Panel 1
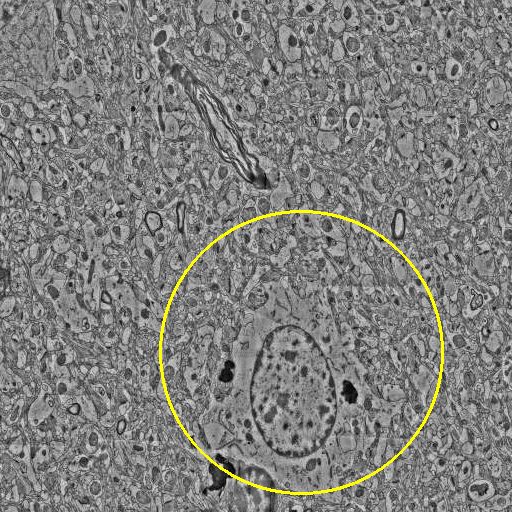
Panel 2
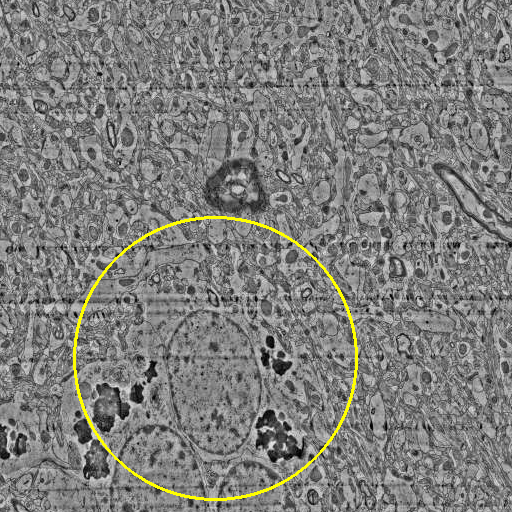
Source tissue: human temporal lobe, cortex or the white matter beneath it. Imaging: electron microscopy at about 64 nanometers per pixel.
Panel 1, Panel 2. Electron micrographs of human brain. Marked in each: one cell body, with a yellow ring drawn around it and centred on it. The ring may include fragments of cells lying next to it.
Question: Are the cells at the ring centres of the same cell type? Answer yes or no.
yes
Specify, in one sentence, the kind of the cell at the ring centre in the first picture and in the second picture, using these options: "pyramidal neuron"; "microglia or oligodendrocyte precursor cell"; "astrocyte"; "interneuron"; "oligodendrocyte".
Both the first and the second picture show an astrocyte in the ring.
